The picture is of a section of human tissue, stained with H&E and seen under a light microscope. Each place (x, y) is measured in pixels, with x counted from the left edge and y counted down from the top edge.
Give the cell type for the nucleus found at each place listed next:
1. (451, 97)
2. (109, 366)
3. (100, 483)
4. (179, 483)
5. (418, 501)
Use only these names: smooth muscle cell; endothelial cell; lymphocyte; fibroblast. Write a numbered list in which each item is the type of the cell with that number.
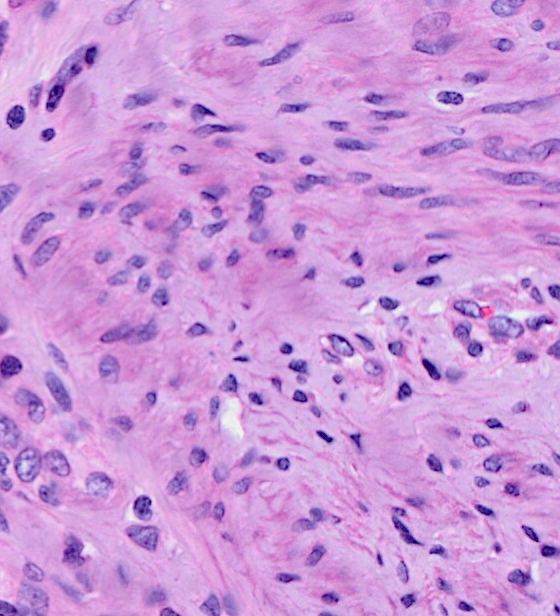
1. lymphocyte
2. smooth muscle cell
3. endothelial cell
4. smooth muscle cell
5. smooth muscle cell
